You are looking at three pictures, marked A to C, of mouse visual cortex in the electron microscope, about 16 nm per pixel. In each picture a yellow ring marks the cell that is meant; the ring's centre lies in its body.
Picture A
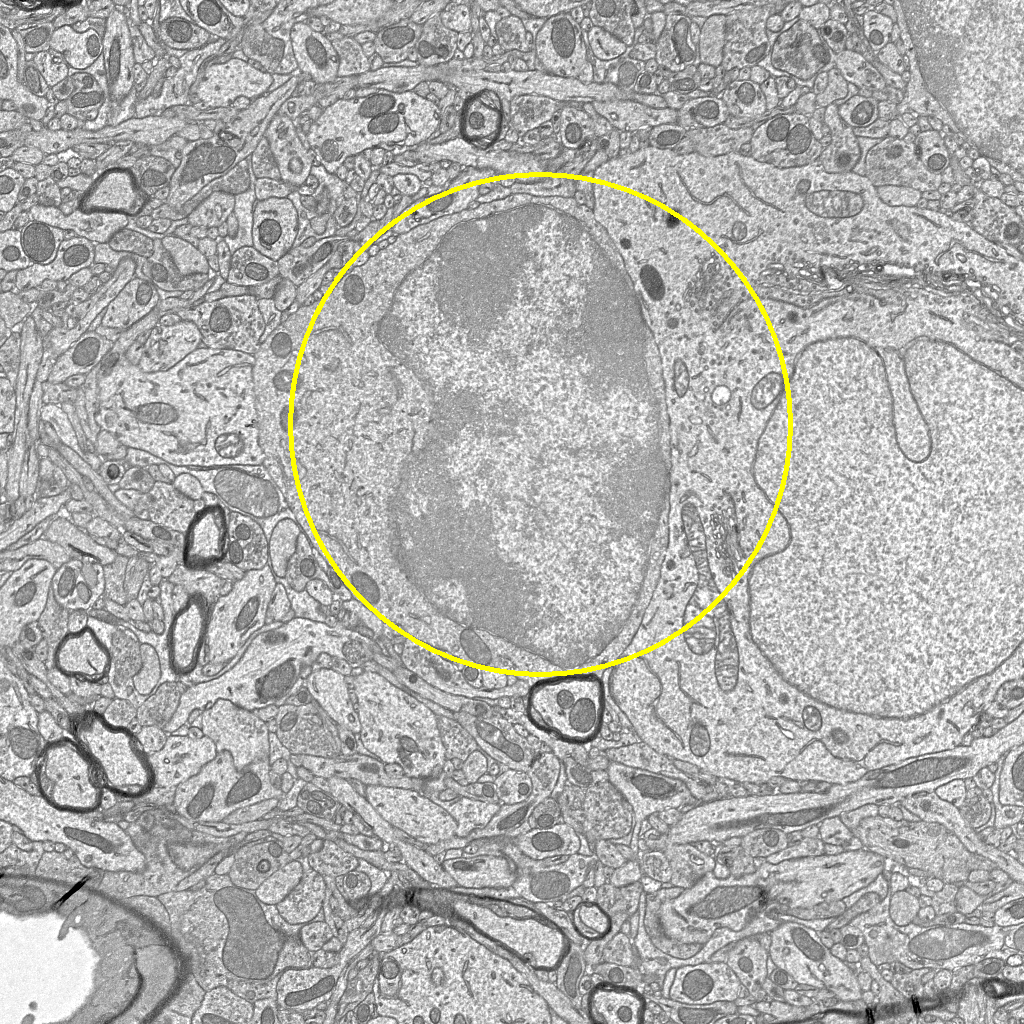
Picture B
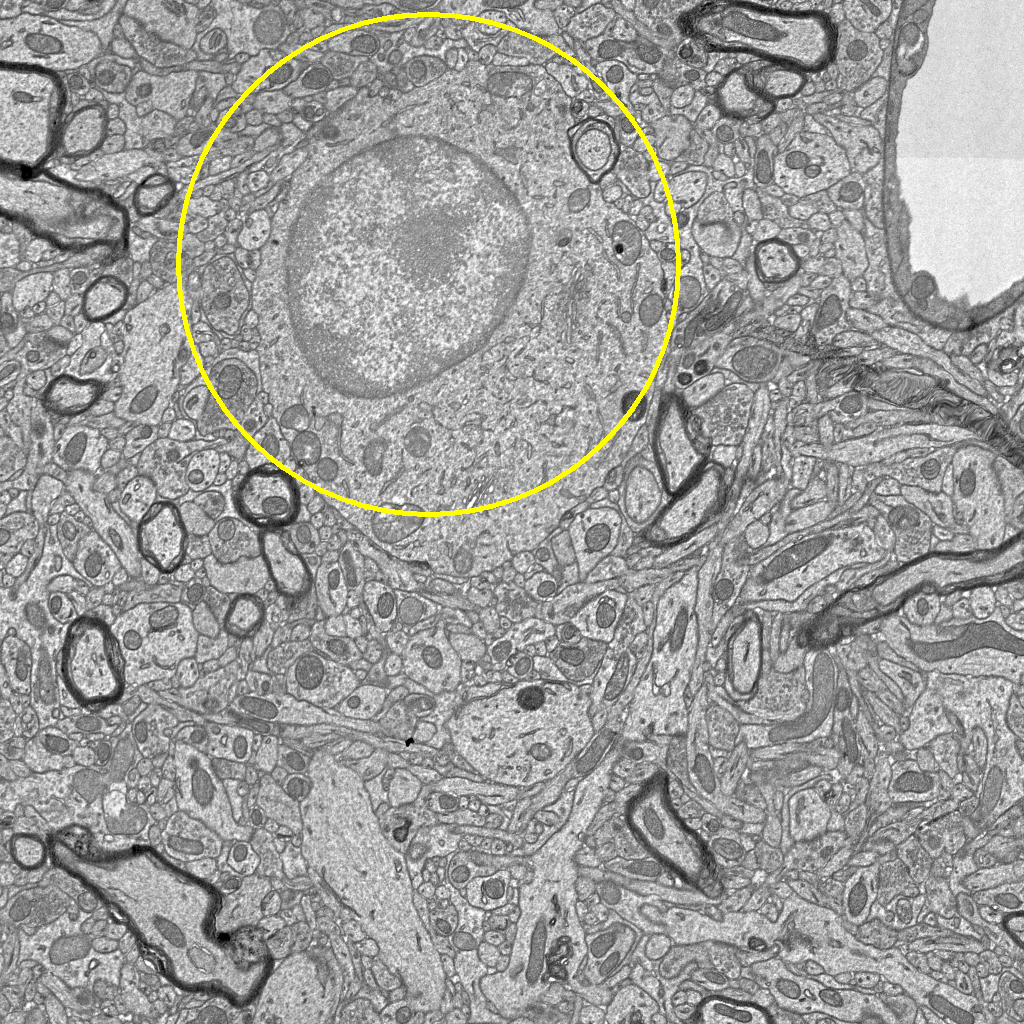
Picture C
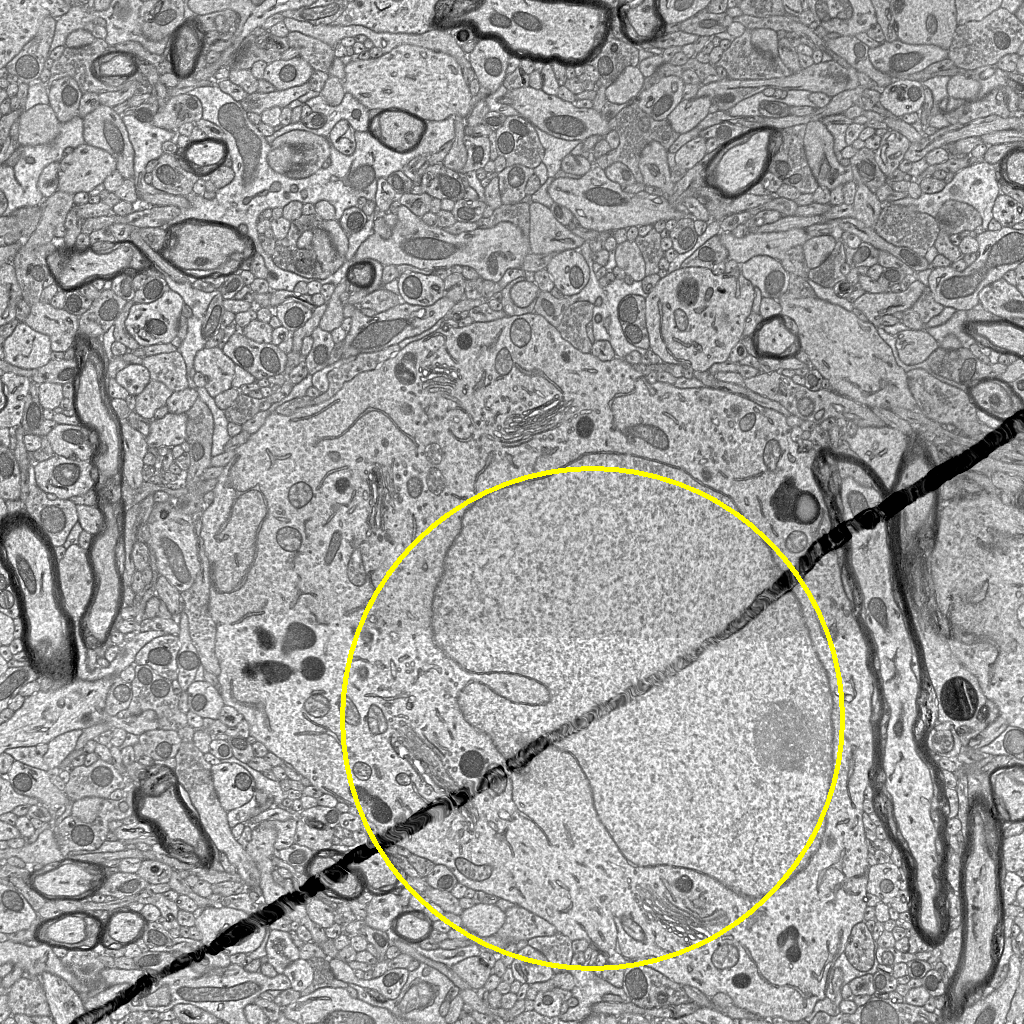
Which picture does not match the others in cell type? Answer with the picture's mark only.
C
